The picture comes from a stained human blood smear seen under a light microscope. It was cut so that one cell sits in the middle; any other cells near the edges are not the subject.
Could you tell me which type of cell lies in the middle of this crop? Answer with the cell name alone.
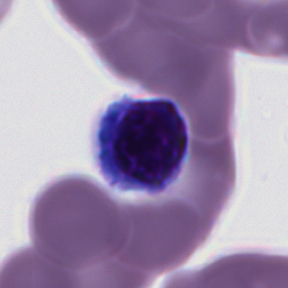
plasma cell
